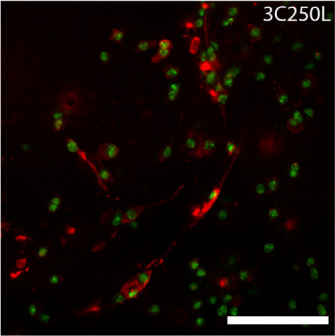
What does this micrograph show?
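Red-stained cell bodies stand out among them, several drawn out into long, thin, sometimes curving strands. Green nuclei sit along or within some of these red strands, while most nuclei have no red around them. Other red areas are shorter, irregular patches around one or a few nuclei.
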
